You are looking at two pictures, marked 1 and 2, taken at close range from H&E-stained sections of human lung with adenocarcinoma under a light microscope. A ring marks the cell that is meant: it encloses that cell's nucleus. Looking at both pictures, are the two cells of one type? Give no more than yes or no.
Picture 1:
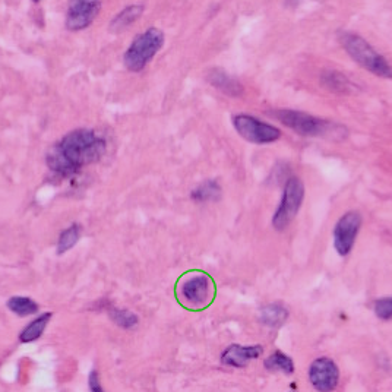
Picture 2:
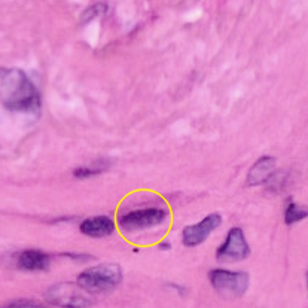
no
